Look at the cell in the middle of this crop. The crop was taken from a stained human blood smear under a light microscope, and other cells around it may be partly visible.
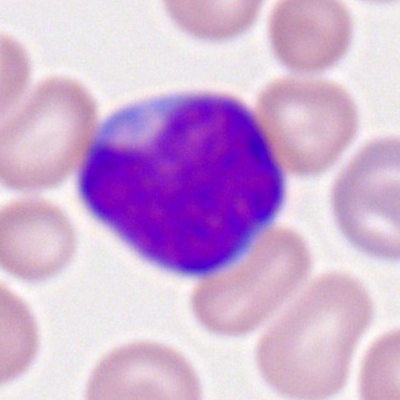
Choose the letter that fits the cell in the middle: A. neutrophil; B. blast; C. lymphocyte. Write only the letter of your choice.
B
